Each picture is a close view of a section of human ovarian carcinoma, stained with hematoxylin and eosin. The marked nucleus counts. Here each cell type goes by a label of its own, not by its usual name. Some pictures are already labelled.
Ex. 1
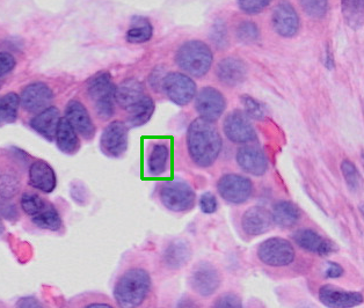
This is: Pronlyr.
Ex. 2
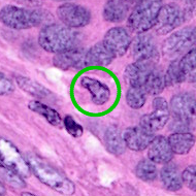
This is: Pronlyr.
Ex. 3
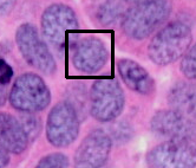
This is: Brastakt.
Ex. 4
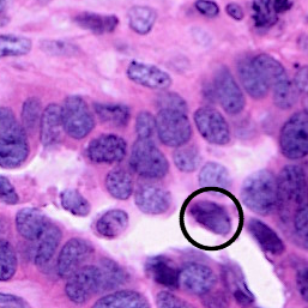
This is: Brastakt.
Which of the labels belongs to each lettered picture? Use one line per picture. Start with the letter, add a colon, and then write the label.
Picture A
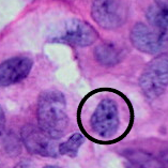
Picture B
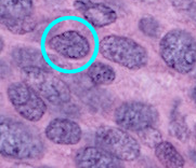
A: Pronlyr.
B: Brastakt.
